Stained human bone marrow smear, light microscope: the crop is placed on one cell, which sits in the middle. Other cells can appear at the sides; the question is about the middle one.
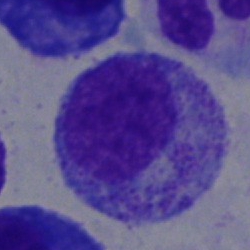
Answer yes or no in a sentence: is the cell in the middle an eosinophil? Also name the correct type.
No, the central cell is not to be called an eosinophil, being a myelocyte.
